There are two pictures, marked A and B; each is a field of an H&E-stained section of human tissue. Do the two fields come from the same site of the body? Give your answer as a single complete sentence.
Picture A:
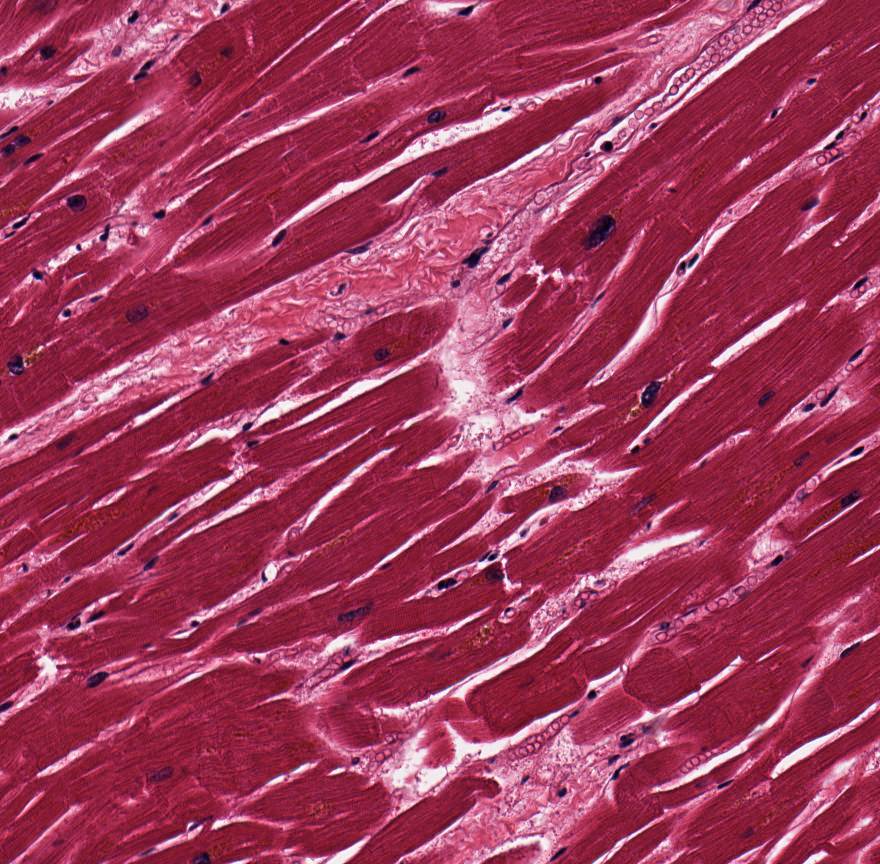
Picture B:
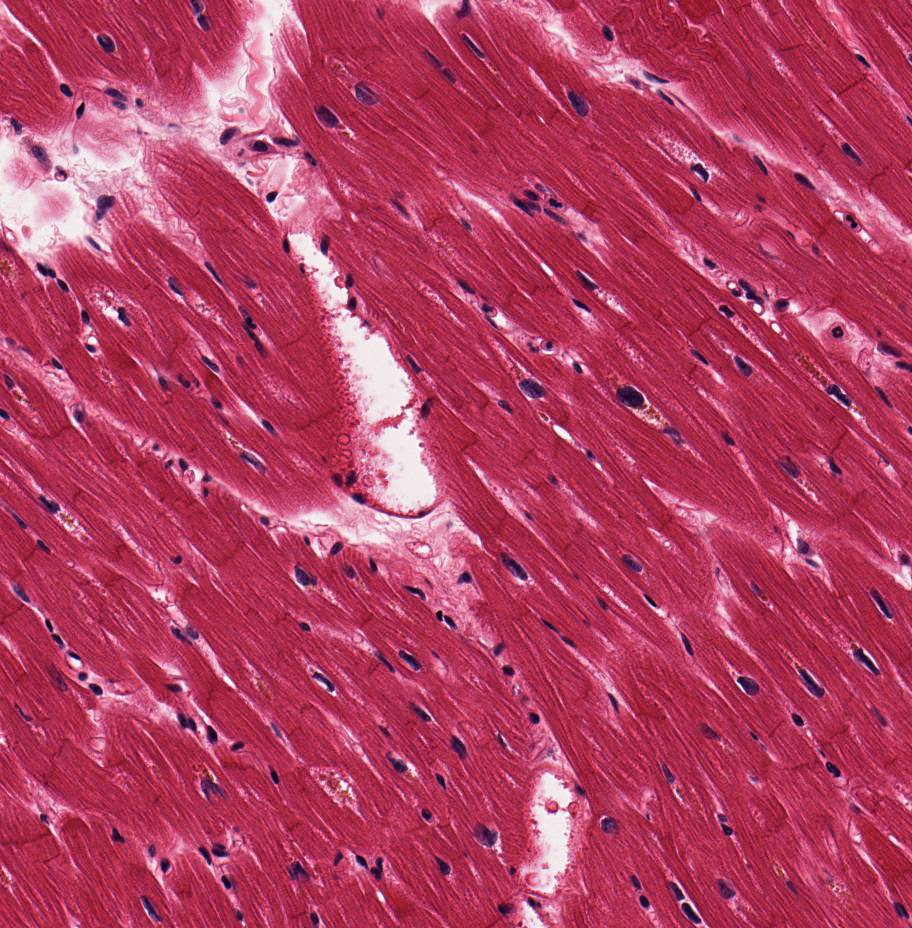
Yes, the two fields both come from the left ventricle of the heart.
